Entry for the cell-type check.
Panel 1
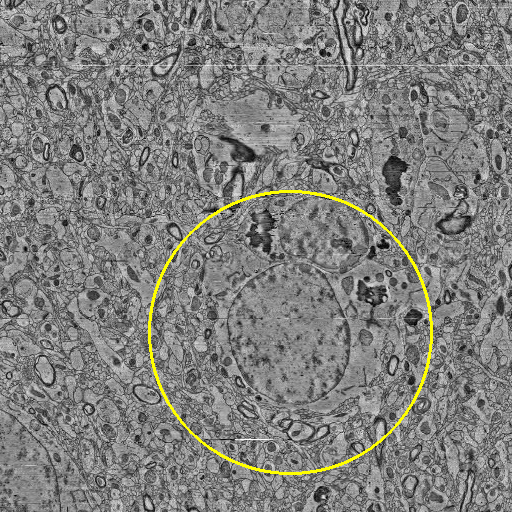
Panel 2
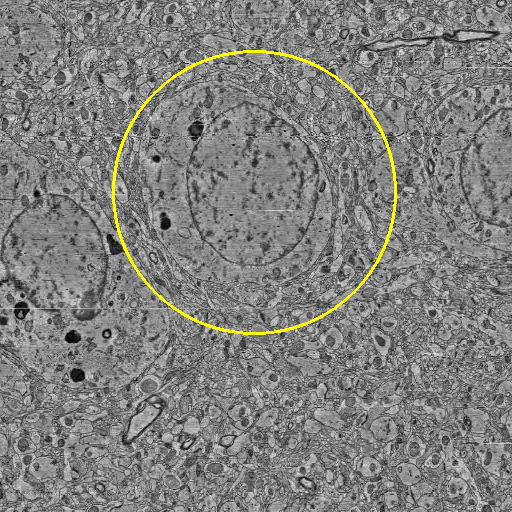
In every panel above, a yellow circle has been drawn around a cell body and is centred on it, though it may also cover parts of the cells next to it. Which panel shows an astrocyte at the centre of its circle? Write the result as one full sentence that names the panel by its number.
Panel 1 shows it at the centre of its circle.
